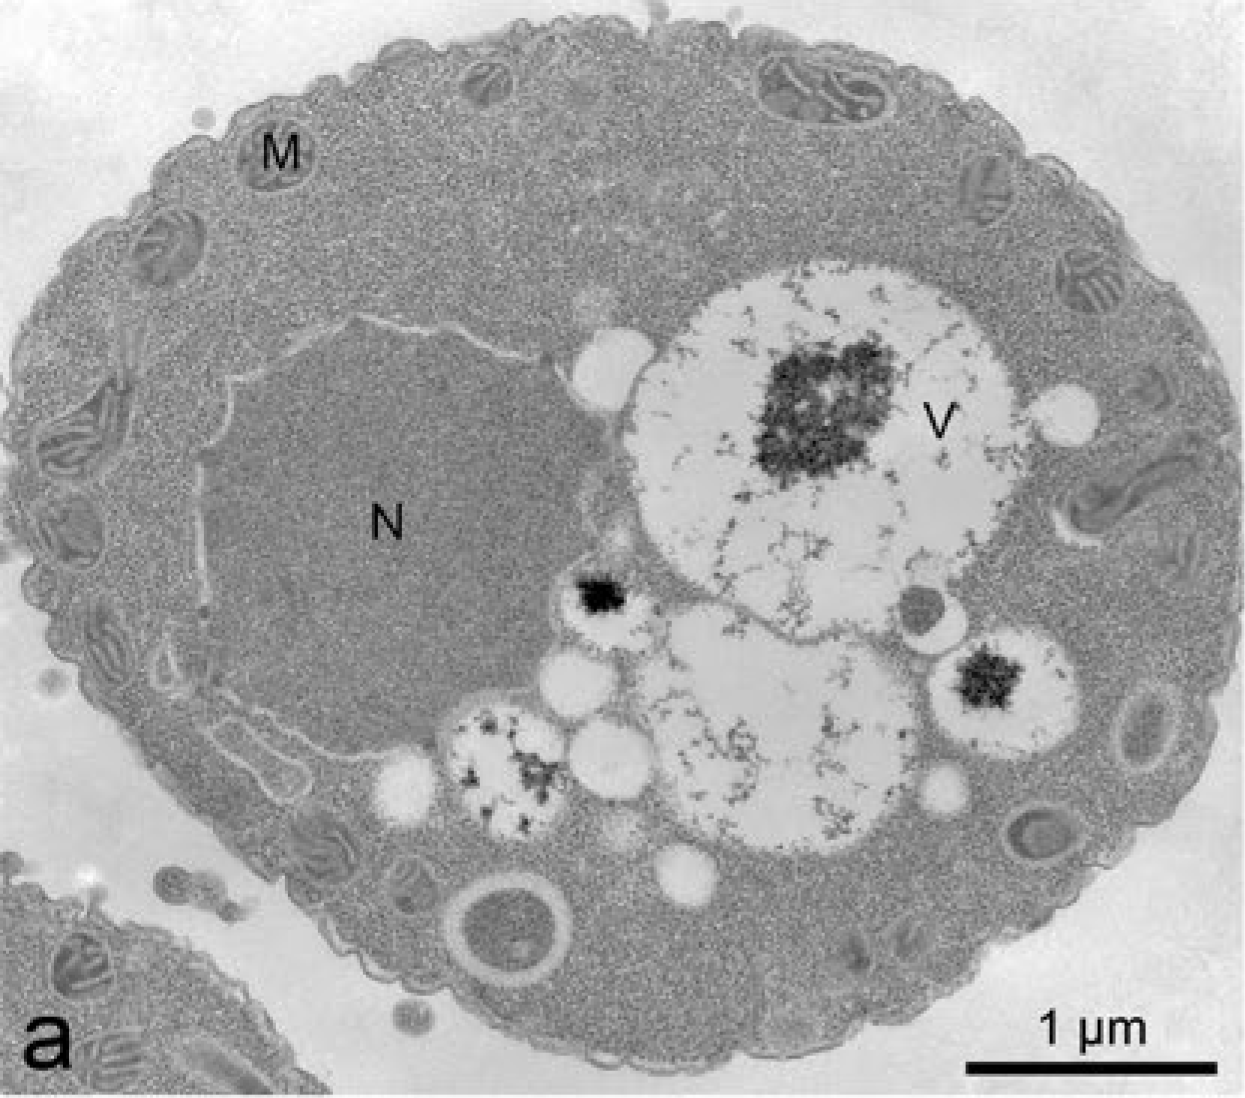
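Section through an oval yeast cell bounded by a thin wall, with finely granular cytoplasm. A large rounded nucleus of even grey texture lies to one side, next to a cluster of clear vacuoles, the largest holding a dark granular deposit and fine flocculent material. Numerous small mitochondria with visible cristae are spread around the periphery just beneath the cell surface.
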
